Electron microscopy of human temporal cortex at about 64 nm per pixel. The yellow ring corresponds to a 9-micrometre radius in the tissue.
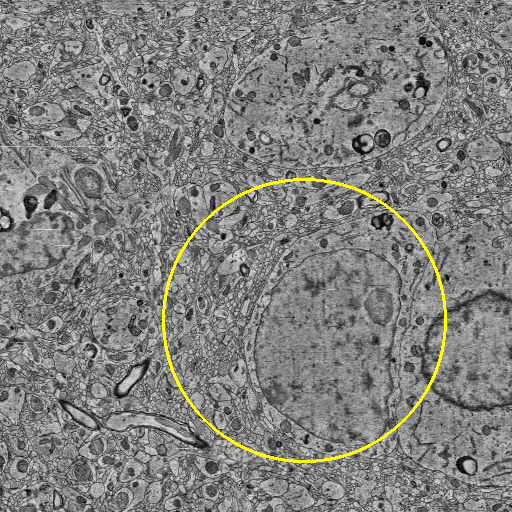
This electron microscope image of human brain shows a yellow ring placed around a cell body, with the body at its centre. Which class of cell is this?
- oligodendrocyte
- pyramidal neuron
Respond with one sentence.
The cell body at the ring's centre is a pyramidal neuron.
